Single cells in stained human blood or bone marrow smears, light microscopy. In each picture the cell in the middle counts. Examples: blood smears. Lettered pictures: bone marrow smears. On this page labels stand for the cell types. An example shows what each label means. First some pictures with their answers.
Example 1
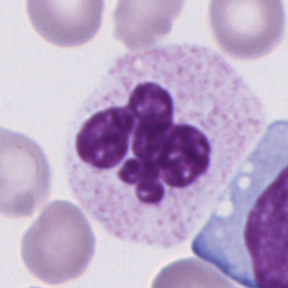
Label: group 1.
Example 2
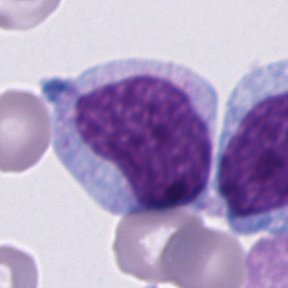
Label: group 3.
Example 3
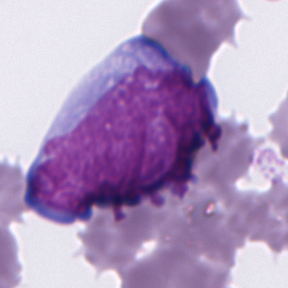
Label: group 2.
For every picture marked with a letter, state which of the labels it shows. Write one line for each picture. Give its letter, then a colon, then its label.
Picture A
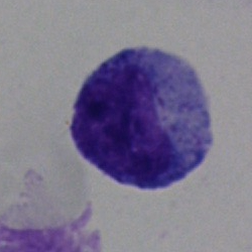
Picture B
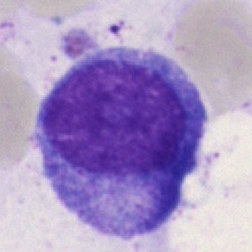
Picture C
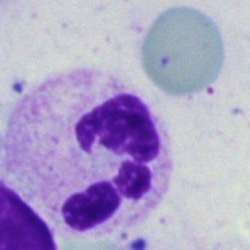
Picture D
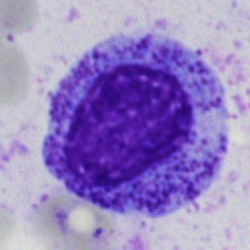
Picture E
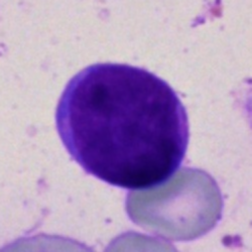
A: group 3.
B: group 3.
C: group 1.
D: group 3.
E: group 2.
